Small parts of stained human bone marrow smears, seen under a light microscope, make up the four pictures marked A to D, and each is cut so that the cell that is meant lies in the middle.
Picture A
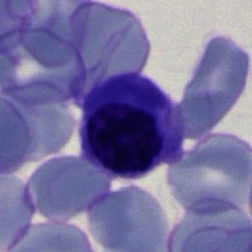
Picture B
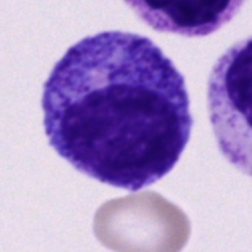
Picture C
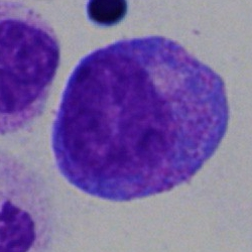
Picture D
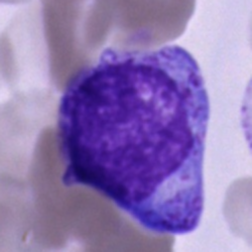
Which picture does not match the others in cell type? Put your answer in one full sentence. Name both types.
The others show promyelocytes, but picture A shows an erythroblast.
